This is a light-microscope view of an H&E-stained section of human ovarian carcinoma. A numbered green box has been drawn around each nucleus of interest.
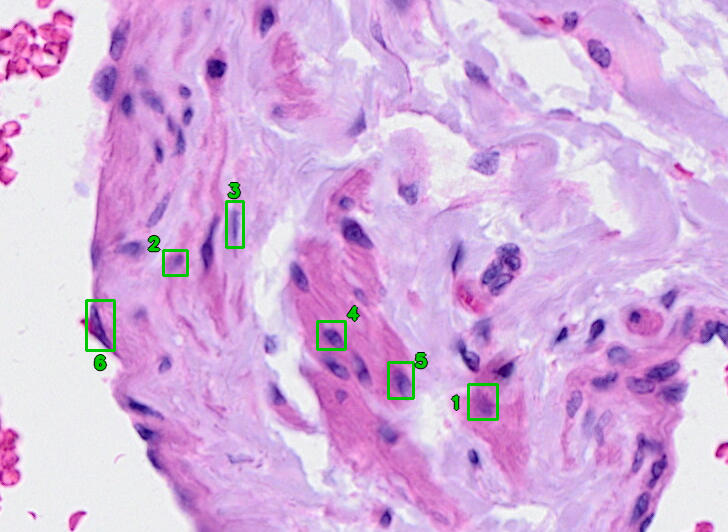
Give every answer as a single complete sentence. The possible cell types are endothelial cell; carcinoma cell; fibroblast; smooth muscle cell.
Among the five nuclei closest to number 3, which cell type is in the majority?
Smooth muscle cells make up most of the five nuclei closest to number 3.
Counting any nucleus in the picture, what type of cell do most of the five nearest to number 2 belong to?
Smooth muscle cells make up most of the five nuclei closest to number 2.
